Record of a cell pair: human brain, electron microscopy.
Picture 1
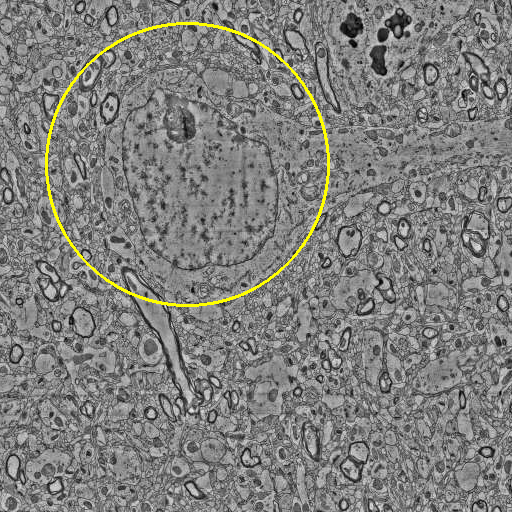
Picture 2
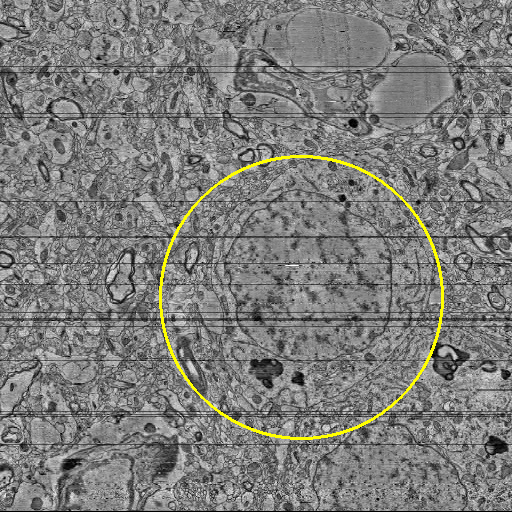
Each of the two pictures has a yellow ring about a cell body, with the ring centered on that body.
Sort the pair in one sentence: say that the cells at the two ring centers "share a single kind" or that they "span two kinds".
The cells centered in the rings of Pictures 1 and 2 share a single kind.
